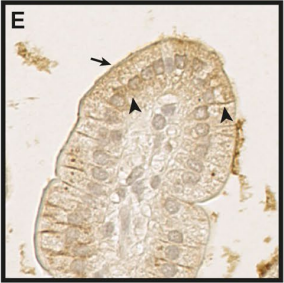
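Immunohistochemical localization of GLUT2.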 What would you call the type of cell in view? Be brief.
Enterocytes.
